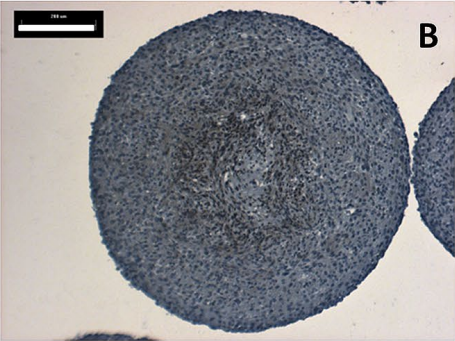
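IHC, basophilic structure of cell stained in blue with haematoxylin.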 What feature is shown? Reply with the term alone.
Multicellular spheroid.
